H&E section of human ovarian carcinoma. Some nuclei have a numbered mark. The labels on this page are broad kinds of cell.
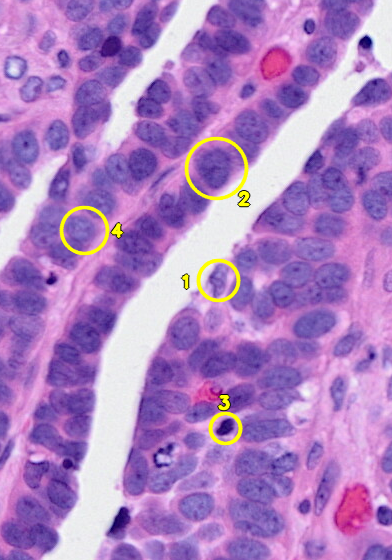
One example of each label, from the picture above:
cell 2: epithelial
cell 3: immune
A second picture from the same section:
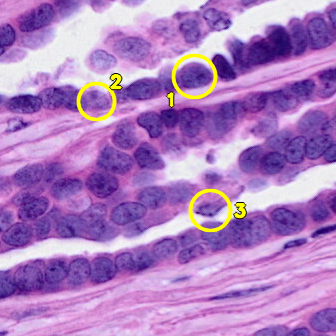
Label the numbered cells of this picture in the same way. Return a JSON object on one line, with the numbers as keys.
{"1": "epithelial", "2": "epithelial", "3": "immune"}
